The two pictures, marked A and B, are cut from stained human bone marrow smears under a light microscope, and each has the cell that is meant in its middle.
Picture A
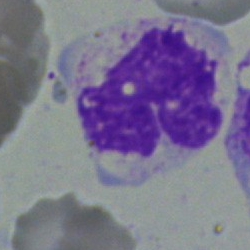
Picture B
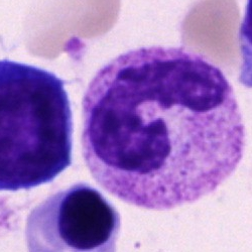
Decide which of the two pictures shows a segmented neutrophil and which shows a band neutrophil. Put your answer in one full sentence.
It is picture A that shows a segmented neutrophil, and picture B that shows a band neutrophil.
